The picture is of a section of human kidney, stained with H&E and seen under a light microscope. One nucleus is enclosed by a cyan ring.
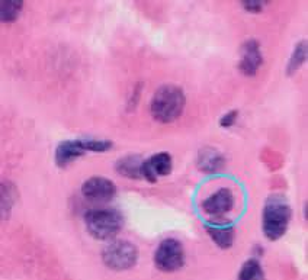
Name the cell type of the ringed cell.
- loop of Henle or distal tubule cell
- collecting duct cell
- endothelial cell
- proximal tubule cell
collecting duct cell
